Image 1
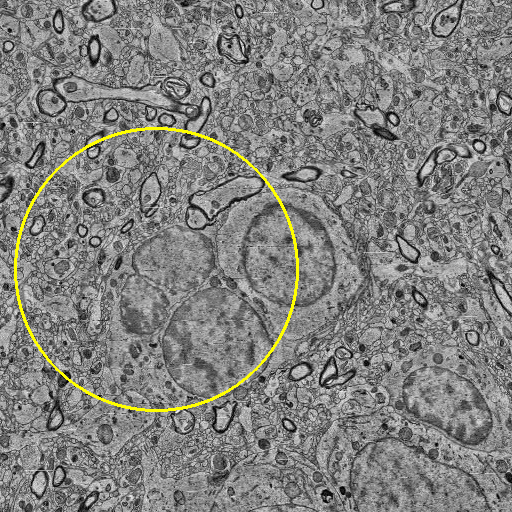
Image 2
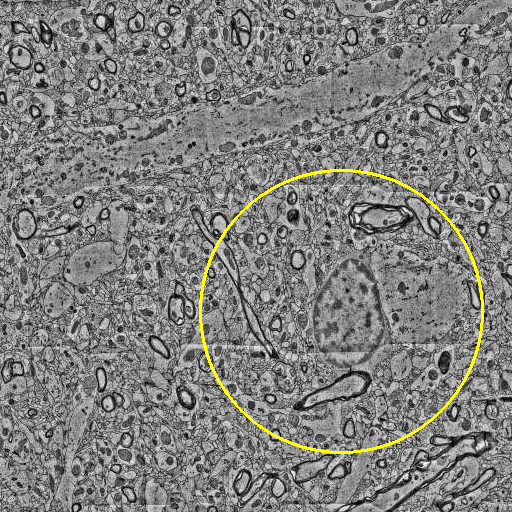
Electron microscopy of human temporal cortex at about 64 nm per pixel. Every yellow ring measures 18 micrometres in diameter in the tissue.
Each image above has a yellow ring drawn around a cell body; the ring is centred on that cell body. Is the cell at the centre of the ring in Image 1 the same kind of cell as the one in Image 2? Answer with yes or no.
yes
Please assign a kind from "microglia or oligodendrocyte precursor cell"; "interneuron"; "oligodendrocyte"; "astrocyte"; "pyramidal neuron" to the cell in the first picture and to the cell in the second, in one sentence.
The cell at the ring centre is an oligodendrocyte in both pictures.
